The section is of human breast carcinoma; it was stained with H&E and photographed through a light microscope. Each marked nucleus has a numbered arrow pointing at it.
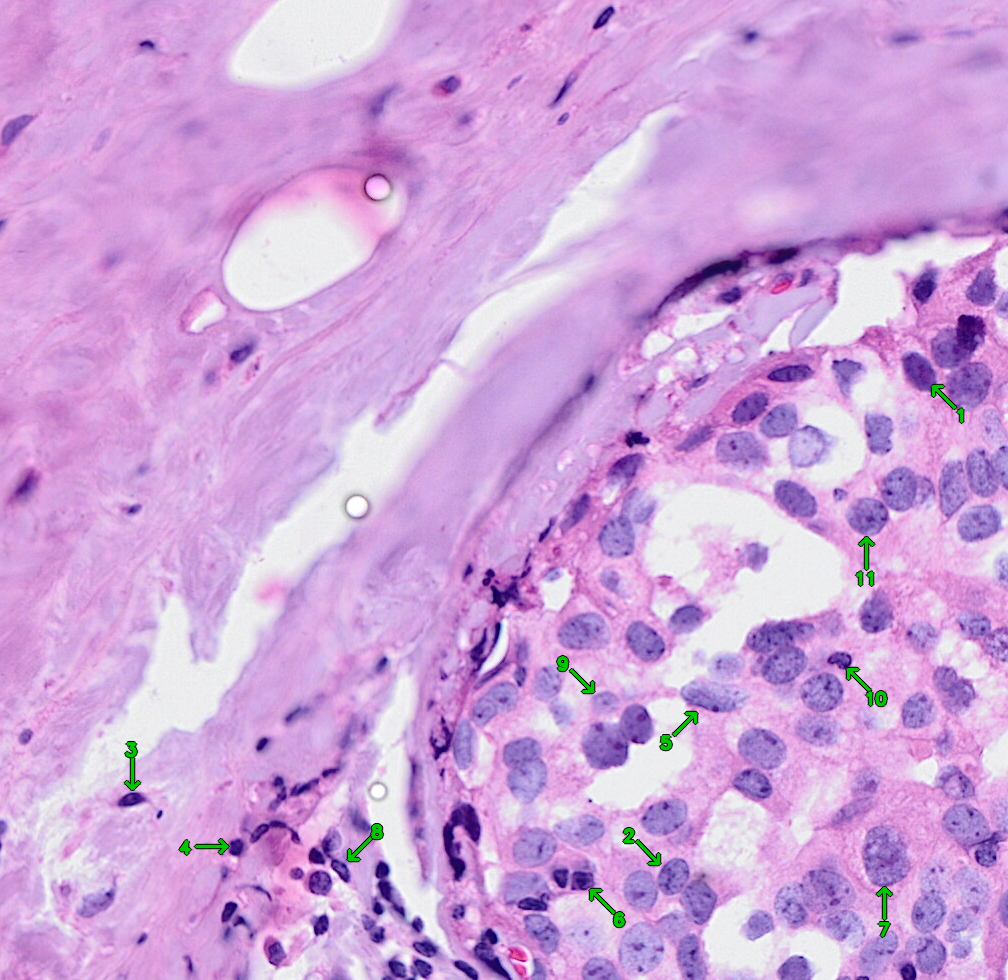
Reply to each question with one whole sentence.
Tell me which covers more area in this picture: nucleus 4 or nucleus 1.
Nucleus 1 covers more area, about 4 times as much as nucleus 4.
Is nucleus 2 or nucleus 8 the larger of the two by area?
Nucleus 2 is the larger one, covering about 2.5 times the area of nucleus 8.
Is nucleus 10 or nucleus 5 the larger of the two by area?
The larger nucleus is 5, at roughly 4 times the area of 10.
